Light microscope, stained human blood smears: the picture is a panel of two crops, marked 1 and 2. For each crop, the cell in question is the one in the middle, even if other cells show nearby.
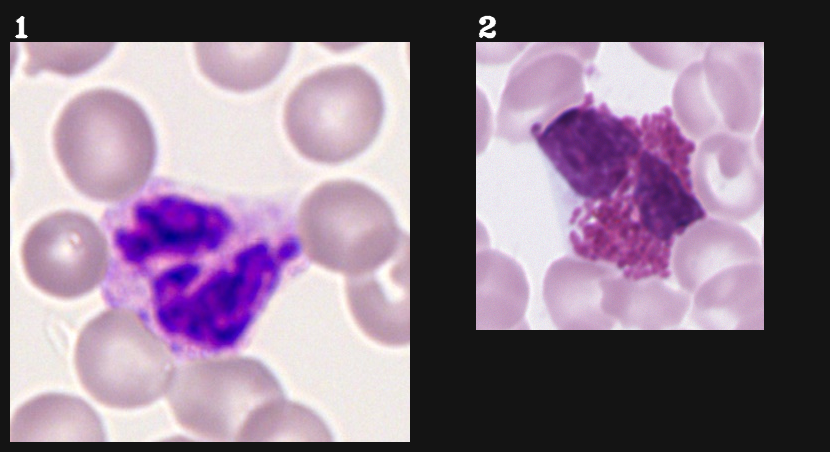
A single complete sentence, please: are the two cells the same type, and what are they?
No, it is a basophil in crop 1 and an eosinophil in crop 2.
